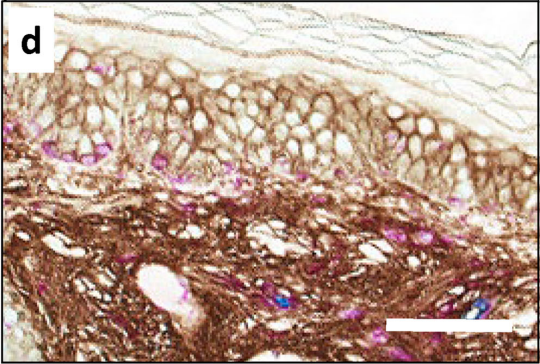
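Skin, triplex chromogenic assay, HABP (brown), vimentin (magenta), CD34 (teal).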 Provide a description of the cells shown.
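This section shows the epidermis above the papillary dermis. Brown stain outlines each keratinocyte, so the intercellular spaces form a net-like honeycomb around pale cells. Near the base of the epithelium, scattered cells are stained magenta. Below, the papillary dermis is densely brown, with small clear spaces and a few magenta and teal cells. Toward the surface, a pale, loosely layered cornified layer lies above the cellular layers.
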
